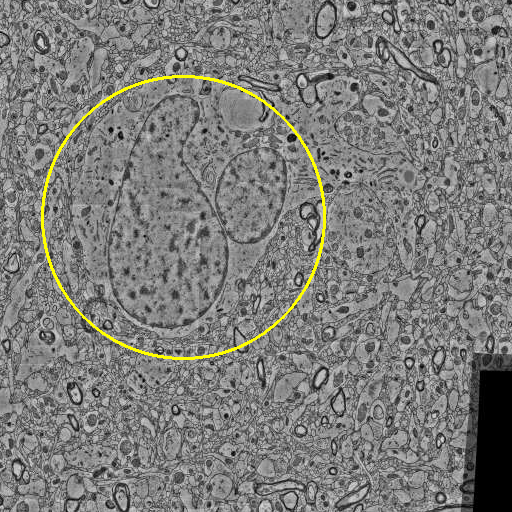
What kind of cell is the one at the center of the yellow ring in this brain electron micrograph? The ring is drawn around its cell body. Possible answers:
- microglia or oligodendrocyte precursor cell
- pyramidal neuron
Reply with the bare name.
microglia or oligodendrocyte precursor cell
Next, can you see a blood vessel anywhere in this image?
No, there is no blood vessel.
